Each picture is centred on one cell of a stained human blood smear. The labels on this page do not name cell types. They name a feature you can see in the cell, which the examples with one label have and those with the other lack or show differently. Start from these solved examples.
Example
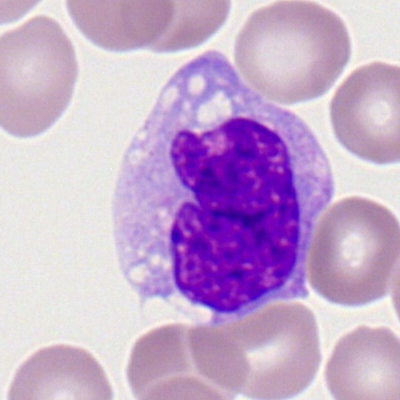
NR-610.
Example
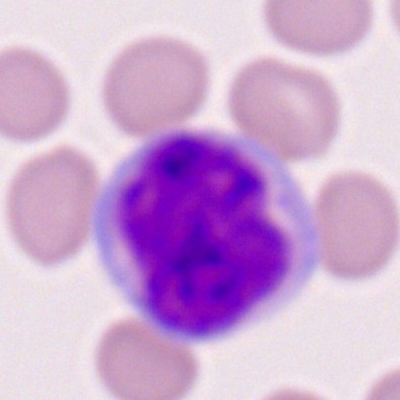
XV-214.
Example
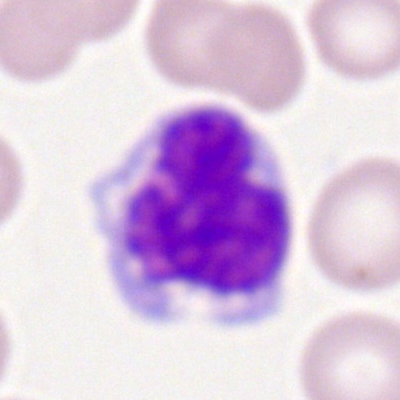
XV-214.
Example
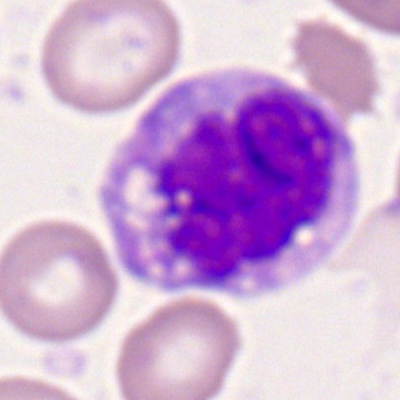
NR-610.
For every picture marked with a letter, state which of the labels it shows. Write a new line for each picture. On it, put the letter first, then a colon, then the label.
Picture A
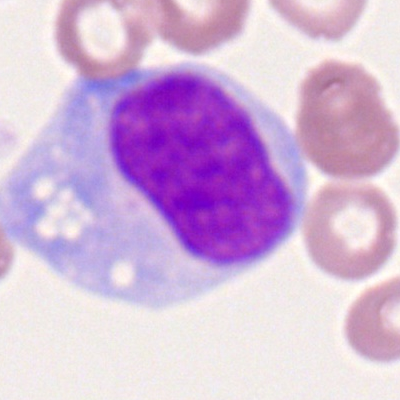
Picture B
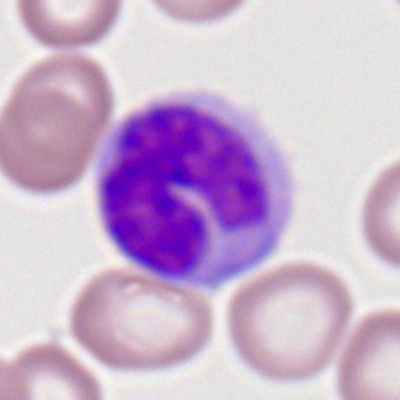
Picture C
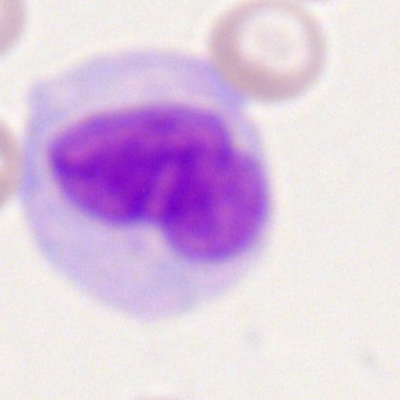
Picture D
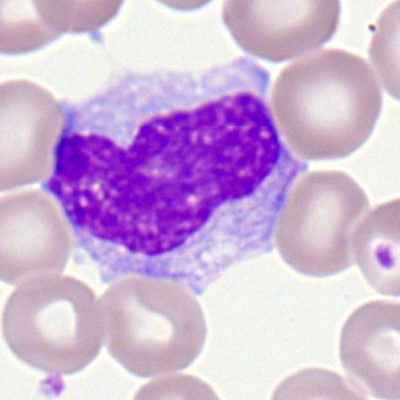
A: NR-610.
B: XV-214.
C: NR-610.
D: NR-610.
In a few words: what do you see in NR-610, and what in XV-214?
Seen in NR-610: abundant cytoplasm; seen in XV-214: scant cytoplasm.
